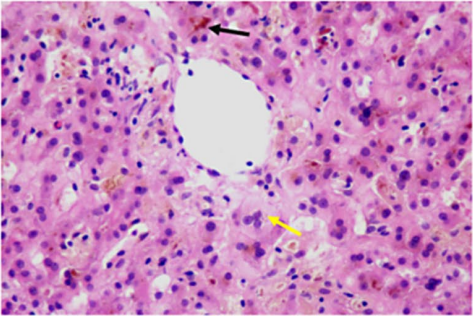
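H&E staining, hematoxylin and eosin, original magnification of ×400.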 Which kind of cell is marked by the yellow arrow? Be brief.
hepatocytes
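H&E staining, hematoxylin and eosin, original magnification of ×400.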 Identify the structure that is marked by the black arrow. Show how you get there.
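A small reddish-brown deposit lies near the top edge of the vessel lumen. It sits between pink polygonal cells.
Bile plugs.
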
